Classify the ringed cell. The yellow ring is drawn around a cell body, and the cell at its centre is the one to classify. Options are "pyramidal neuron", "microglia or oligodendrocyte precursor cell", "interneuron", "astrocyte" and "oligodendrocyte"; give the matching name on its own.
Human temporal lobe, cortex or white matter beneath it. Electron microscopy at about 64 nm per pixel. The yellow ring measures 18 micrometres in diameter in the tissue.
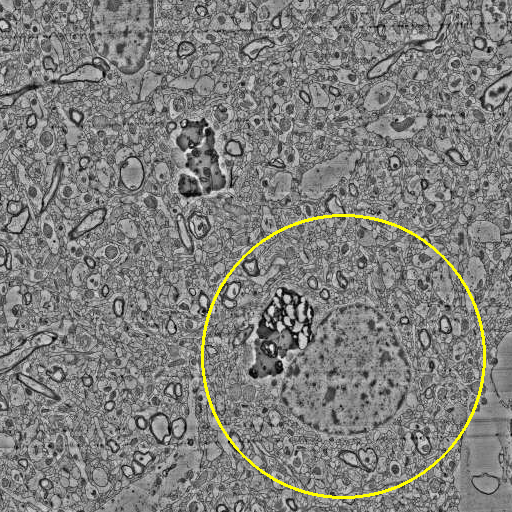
astrocyte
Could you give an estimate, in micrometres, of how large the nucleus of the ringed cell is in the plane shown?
In this plane, approximately 8 by 7 micrometers.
